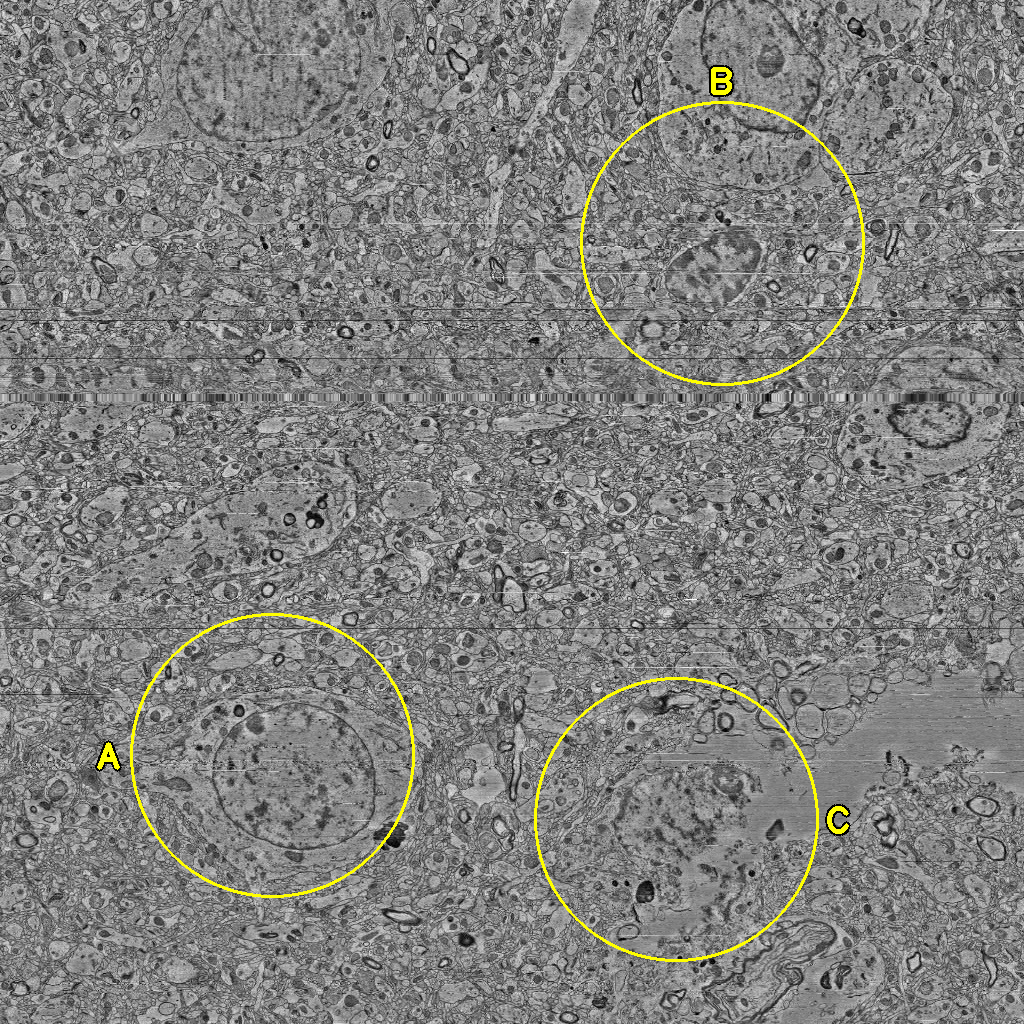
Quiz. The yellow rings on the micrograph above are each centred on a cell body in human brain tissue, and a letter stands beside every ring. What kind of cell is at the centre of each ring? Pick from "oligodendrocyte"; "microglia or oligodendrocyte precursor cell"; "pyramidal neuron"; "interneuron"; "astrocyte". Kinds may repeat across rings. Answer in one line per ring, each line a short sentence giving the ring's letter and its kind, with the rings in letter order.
The ring labelled A has a pyramidal neuron at its centre.
The ring labelled B has a microglial cell or oligodendrocyte precursor cell at its centre.
The ring labelled C has an interneuron at its centre.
